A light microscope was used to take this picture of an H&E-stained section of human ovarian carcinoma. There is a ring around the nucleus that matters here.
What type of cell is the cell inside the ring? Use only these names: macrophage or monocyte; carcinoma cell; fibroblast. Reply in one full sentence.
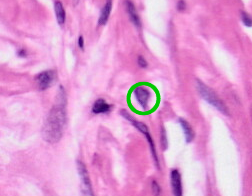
Among the cells in this section, the cell inside the ring is a fibroblast.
